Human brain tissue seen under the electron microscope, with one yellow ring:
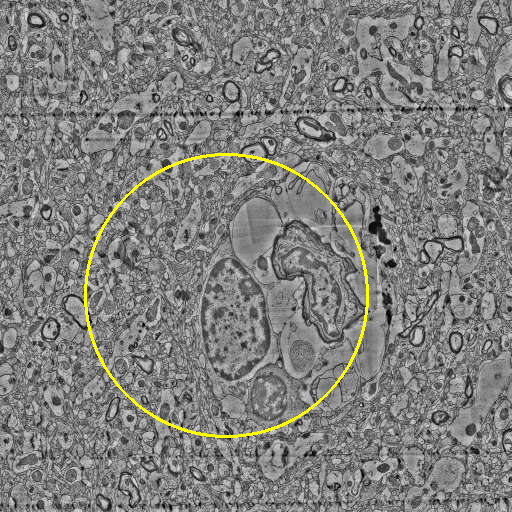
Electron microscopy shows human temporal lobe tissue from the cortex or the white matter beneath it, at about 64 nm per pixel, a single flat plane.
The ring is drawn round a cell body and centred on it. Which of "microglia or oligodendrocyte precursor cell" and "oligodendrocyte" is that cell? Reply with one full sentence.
The picture shows a microglial cell or oligodendrocyte precursor cell at the very centre of the yellow ring.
